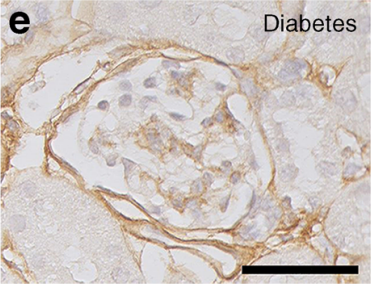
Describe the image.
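This is kidney cortex with a single glomerulus in the centre, surrounded by cross-sectioned tubules. The glomerular tuft holds many small blue nuclei, with fine brown staining threaded between them in the capillary loops. A brown line outlines the capsule around the glomerulus and continues along the basement membranes of the neighbouring tubules. The tubule cells have pale, finely granular cytoplasm and round blue nuclei.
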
